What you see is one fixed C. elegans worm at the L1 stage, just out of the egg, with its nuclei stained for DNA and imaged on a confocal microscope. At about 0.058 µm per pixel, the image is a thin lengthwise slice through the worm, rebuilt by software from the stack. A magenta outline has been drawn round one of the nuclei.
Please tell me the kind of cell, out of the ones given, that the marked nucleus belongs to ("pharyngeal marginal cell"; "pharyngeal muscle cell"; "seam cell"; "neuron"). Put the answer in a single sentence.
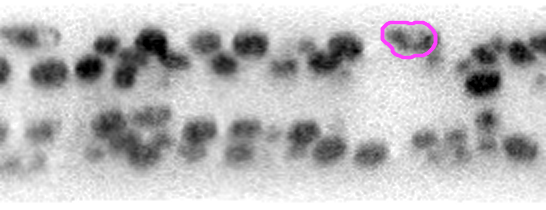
The marked nucleus is that of a seam cell.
